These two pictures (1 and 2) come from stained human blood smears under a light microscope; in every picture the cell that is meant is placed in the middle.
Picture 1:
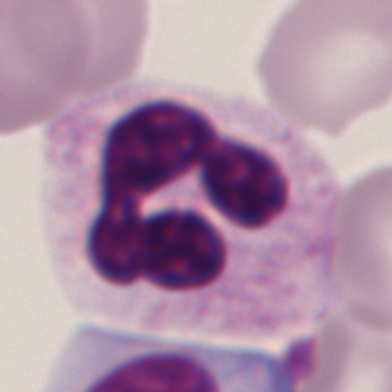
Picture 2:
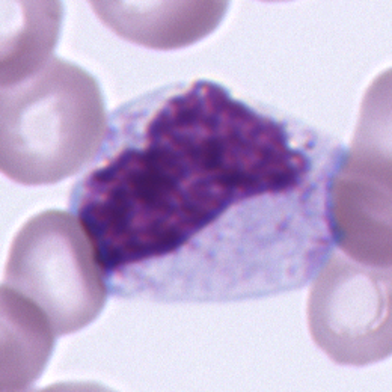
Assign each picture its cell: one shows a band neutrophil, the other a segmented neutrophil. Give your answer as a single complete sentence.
Picture 1 is of a segmented neutrophil, and picture 2 is of a band neutrophil.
